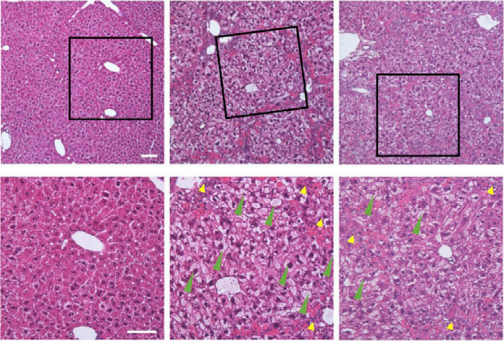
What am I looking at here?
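In the normal-looking sections, polygonal hepatocytes with pink cytoplasm and round, centrally placed purple nuclei form orderly plates around small vessels. In the other sections, many hepatocytes are swollen and rounded, with pale, clear cytoplasm, giving a ballooned appearance. Small cells with dense dark nuclei are scattered among the hepatocytes and gathered along pink fibrous streaks. The lobular architecture is disrupted where these changes are present.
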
